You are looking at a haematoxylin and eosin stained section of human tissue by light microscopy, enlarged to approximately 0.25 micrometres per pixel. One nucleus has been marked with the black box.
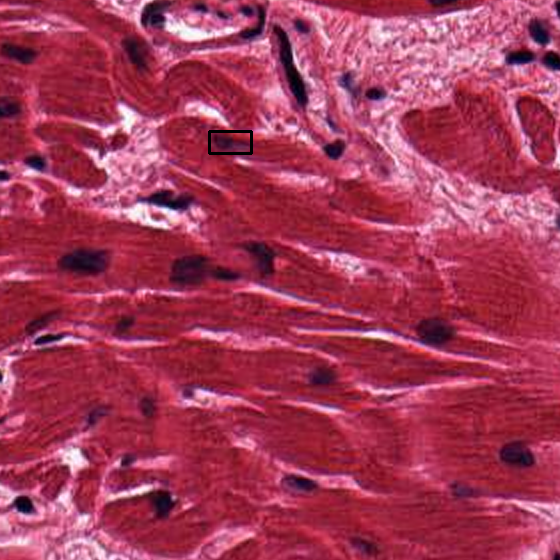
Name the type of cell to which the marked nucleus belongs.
cardiomyocyte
